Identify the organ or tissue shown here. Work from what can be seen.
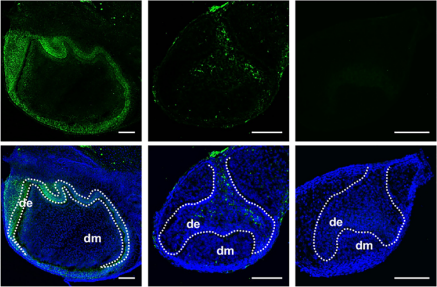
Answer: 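An oval organ rudiment with a folded epithelial layer wrapping around a central mass of densely packed mesenchymal nuclei. The epithelial layer forms a cap-like fold over the mesenchyme. So: tooth germs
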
